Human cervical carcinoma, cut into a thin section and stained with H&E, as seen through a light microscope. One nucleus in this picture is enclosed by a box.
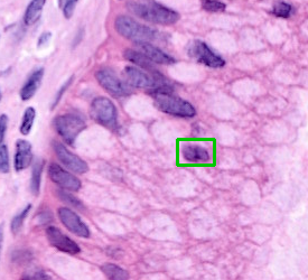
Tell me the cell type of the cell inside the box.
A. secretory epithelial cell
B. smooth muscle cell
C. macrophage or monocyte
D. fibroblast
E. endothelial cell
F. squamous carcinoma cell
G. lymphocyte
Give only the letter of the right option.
A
